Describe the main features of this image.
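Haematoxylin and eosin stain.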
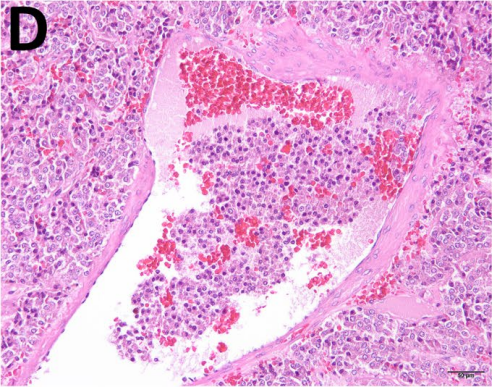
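Here a group of neoplastic cells lies inside a blood vessel lumen. The vessel is bounded by a thin pink wall, and its lumen holds clumps of bright red blood cells and pale pink fluid. In the midst of the blood lies a cluster of nucleated cells with round dark purple nuclei and modest pink cytoplasm, alike to the cells packed in sheets outside the vessel wall. These surrounding tumour cells fill the tissue on both sides, and the free cluster inside the lumen is what marks the tumour's entry into the blood vessel.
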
